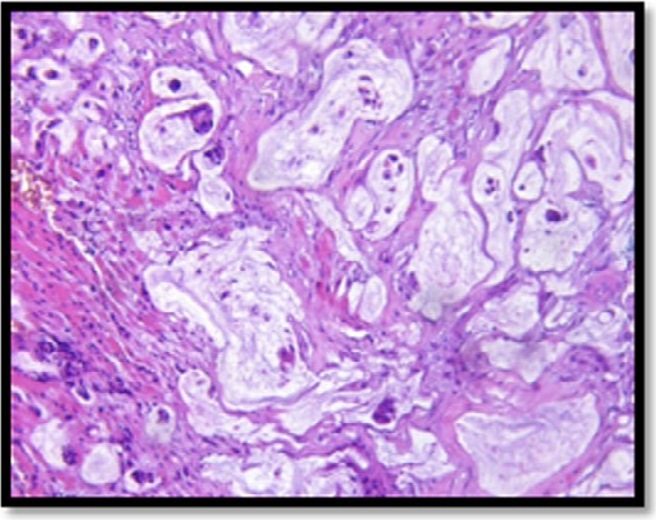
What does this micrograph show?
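At lower power, this carcinoma is made of many pale pools of mucus divided by thin pink fibrous strands. Scattered tumour cells with dark nuclei float in the pools, singly or in small groups. Denser pink stroma with smaller cells lies at the left edge.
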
